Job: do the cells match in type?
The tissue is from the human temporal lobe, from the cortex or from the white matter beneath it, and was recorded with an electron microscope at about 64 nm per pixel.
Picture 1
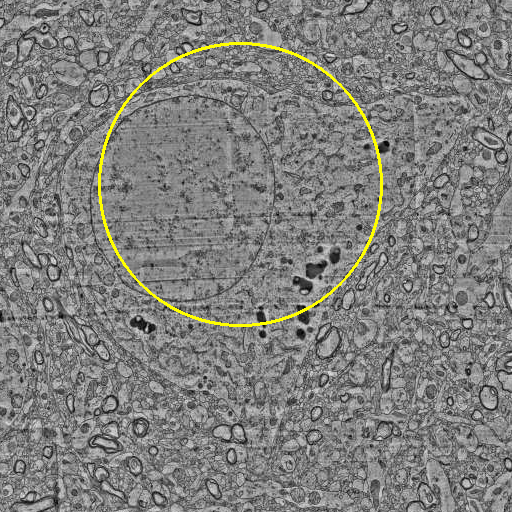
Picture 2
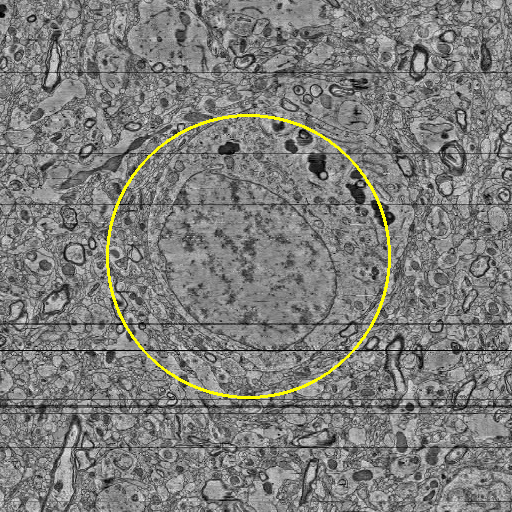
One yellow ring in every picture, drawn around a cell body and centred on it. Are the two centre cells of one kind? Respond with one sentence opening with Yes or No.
Yes, the ringed cells in the two pictures are of one and the same kind.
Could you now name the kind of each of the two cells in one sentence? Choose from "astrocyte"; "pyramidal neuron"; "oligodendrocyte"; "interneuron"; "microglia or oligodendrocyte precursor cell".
Each of the two rings is centred on a pyramidal neuron.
